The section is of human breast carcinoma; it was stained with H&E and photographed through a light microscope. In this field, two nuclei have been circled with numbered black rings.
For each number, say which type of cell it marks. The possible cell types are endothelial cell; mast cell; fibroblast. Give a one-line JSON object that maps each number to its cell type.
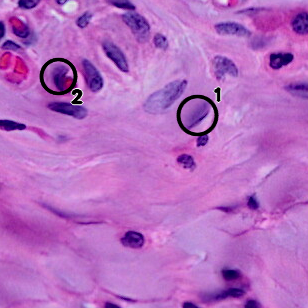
{"1": "fibroblast", "2": "endothelial cell"}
